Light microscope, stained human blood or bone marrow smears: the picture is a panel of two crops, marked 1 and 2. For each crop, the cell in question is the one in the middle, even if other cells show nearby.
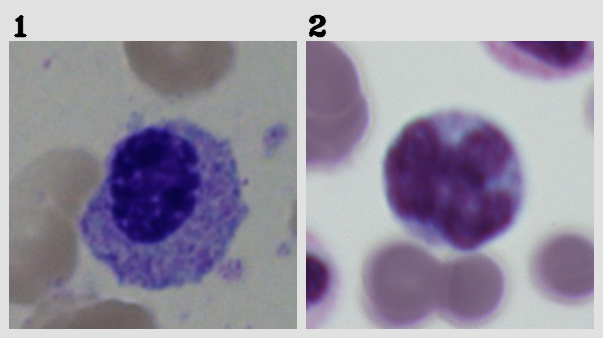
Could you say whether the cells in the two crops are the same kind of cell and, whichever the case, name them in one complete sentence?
No, the cell shown in crop 1 is a myelocyte, and the cell shown in crop 2 is a monocyte.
